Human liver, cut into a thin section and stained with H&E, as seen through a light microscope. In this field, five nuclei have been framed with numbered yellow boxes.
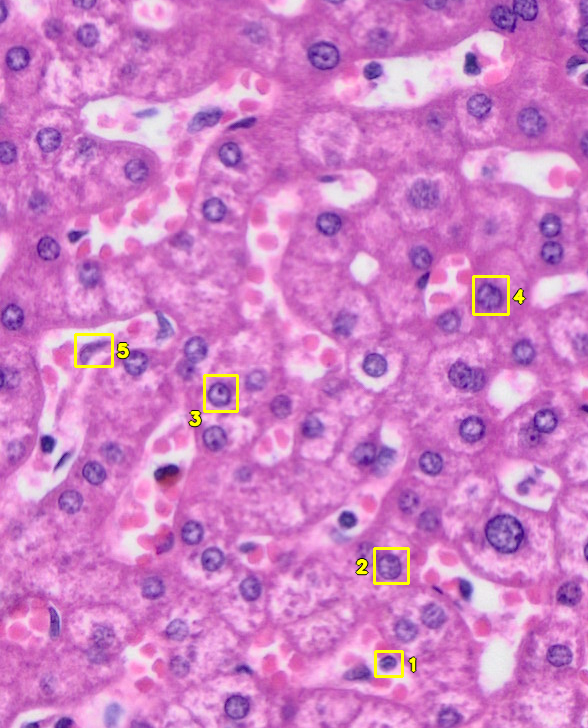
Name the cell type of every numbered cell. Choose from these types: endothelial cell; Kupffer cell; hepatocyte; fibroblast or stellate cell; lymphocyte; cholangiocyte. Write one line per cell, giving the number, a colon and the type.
1: lymphocyte
2: hepatocyte
3: hepatocyte
4: hepatocyte
5: Kupffer cell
